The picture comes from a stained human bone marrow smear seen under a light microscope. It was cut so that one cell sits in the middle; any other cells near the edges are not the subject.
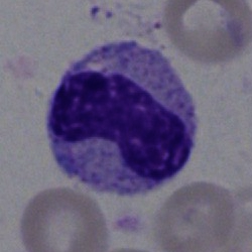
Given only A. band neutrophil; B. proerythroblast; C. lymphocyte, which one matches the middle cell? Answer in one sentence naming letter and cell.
The correct option, A, names the middle cell as a band neutrophil.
